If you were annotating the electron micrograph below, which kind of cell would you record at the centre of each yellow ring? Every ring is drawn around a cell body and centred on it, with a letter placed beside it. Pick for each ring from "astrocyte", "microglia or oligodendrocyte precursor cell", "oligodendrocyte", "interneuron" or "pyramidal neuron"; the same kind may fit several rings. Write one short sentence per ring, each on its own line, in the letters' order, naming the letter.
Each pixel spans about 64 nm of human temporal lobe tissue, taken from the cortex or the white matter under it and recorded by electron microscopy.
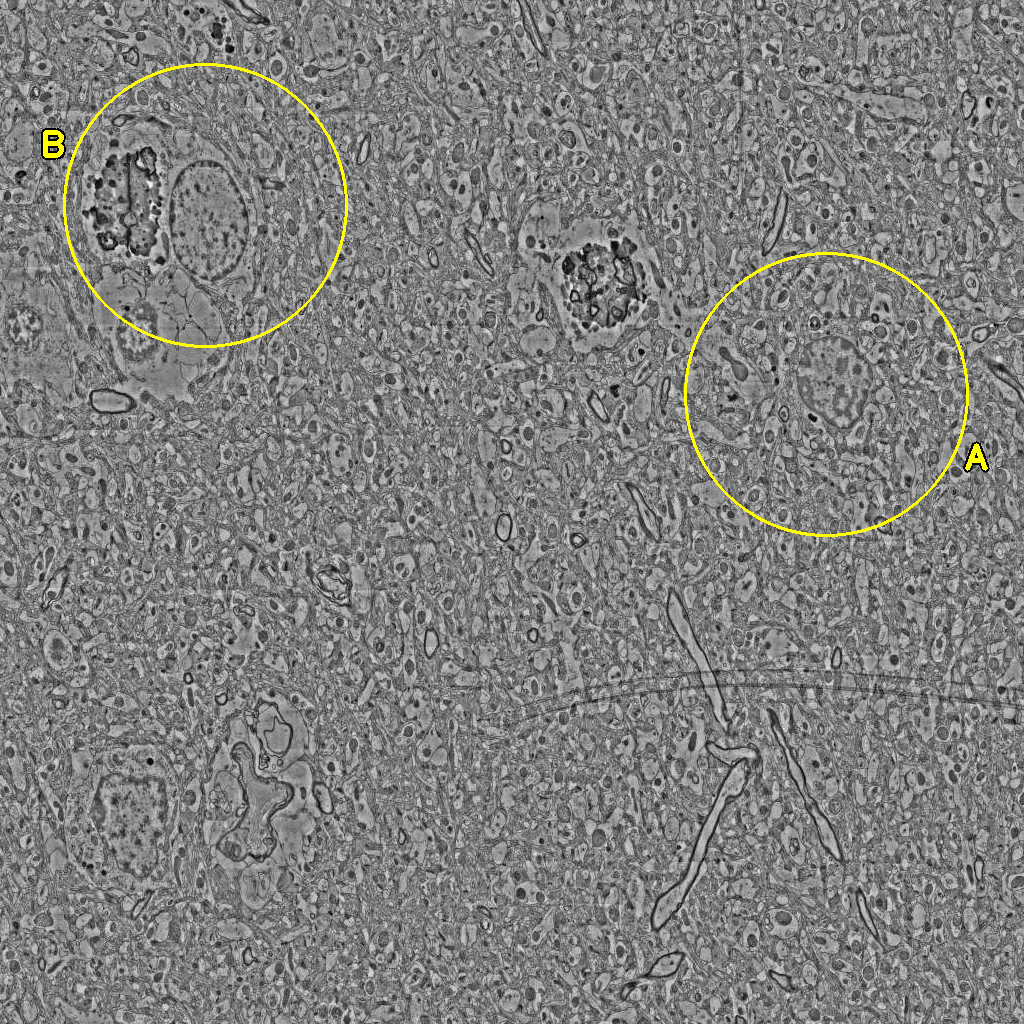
For ring A, I would record an oligodendrocyte.
For ring B, I would record an astrocyte.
